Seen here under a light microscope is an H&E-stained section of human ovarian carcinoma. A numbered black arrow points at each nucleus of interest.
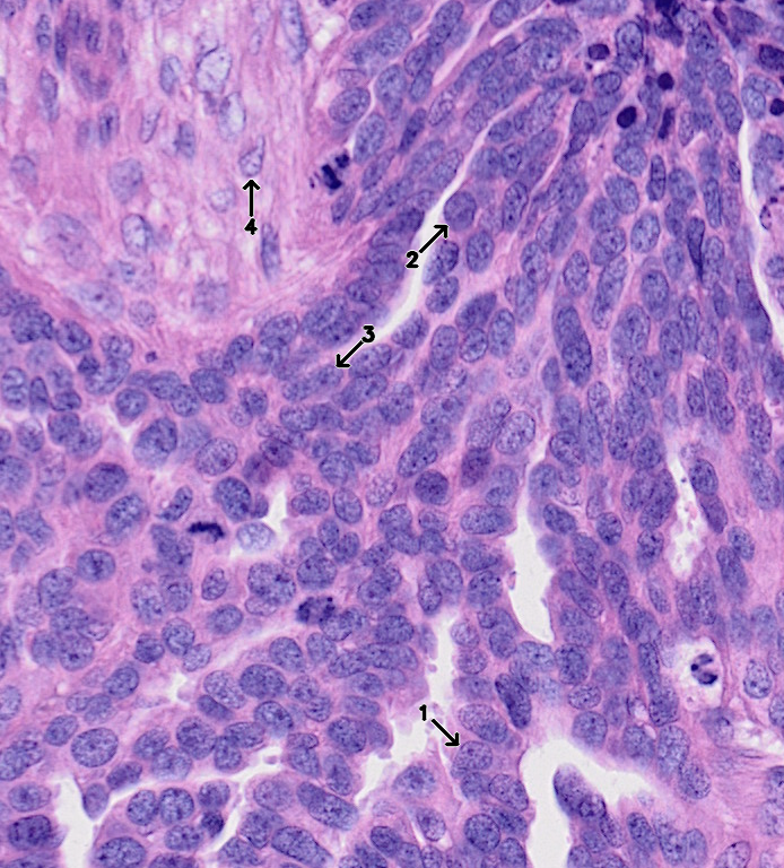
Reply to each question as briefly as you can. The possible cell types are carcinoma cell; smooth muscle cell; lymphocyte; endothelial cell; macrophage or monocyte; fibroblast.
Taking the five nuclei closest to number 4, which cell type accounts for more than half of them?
fibroblast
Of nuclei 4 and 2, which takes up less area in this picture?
4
